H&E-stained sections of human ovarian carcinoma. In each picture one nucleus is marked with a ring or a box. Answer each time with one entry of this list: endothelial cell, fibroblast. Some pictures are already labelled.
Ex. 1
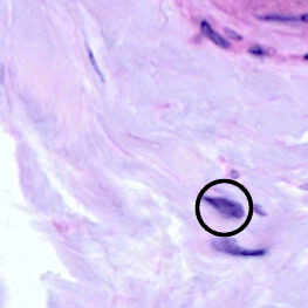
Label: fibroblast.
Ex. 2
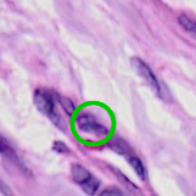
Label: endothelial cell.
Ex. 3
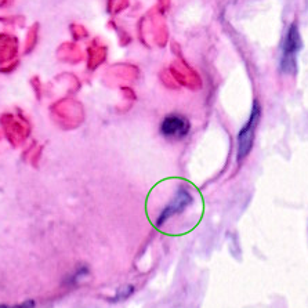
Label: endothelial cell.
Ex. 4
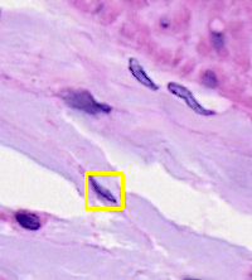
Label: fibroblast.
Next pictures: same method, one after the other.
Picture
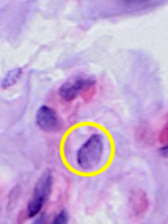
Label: fibroblast.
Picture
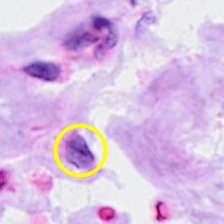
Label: fibroblast.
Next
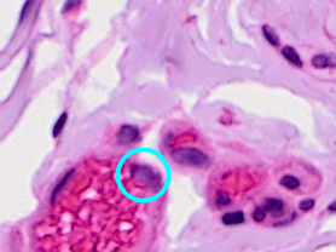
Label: endothelial cell.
